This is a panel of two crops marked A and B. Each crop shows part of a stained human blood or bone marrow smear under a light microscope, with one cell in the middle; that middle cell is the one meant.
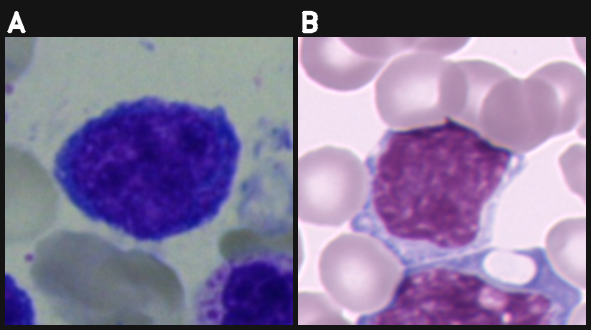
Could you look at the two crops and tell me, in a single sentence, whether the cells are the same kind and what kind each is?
No, crop A offers a blast, while crop B offers a lymphocyte.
